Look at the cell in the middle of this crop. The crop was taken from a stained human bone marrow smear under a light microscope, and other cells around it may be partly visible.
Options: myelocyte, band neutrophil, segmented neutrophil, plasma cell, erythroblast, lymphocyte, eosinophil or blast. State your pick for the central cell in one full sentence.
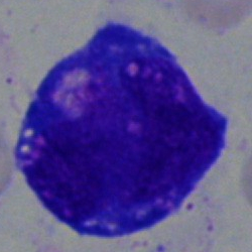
At the center of the crop sits a blast.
